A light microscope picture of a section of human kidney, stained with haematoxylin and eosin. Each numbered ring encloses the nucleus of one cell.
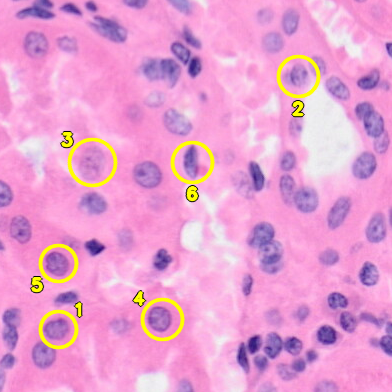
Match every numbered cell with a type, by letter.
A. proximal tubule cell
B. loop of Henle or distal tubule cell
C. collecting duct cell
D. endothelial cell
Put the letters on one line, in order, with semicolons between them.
A; C; A; A; A; D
